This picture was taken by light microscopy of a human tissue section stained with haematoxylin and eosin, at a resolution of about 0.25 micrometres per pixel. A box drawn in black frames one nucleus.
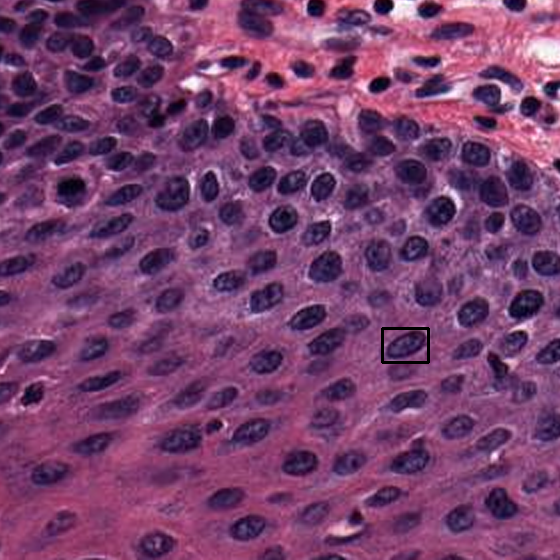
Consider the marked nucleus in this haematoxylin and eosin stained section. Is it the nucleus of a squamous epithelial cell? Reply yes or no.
yes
